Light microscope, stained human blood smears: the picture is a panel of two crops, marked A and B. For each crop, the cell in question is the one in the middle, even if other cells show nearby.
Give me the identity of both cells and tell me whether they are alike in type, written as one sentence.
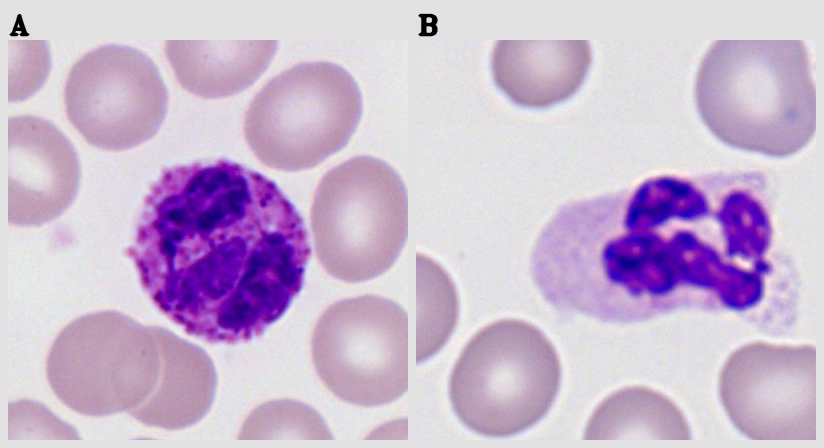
No, a basophil lies at the centre of crop A, and a segmented neutrophil lies at the centre of crop B.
